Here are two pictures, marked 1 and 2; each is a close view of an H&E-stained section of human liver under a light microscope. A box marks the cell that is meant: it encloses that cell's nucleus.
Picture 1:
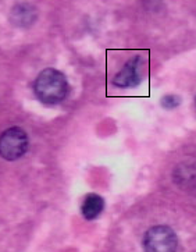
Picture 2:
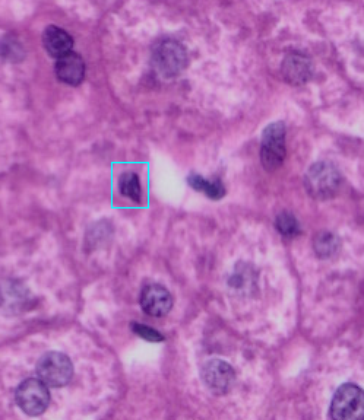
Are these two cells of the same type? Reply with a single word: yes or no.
no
